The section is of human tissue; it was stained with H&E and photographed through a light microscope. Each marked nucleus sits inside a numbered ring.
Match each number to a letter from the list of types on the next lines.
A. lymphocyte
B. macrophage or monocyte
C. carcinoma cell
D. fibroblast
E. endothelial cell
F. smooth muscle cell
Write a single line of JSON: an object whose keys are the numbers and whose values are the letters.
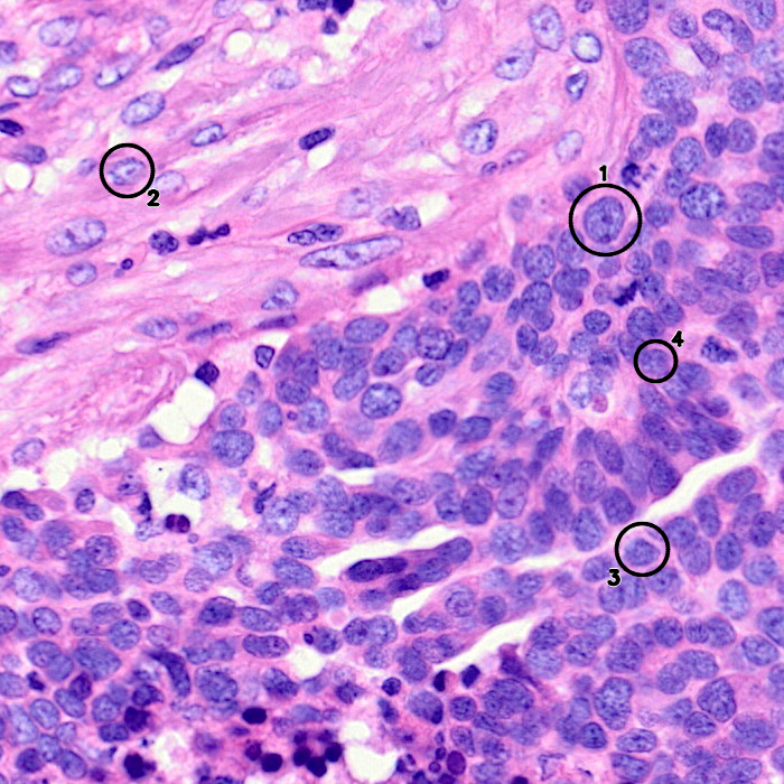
{"1": "C", "2": "D", "3": "C", "4": "C"}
